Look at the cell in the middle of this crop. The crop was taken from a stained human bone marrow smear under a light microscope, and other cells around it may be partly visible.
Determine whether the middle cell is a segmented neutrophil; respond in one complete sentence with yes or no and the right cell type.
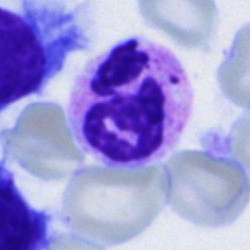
Yes, the centered cell in this field is a segmented neutrophil.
